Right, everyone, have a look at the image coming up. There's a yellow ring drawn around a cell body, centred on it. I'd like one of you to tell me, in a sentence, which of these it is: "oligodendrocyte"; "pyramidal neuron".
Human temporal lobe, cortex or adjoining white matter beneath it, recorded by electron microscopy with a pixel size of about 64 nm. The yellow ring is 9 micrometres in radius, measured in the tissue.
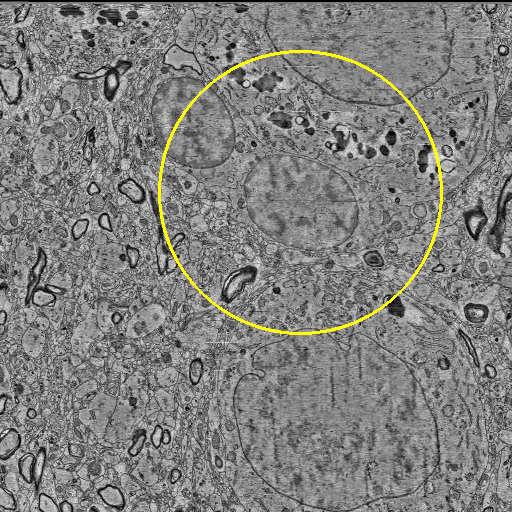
The yellow ring sits on an oligodendrocyte.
